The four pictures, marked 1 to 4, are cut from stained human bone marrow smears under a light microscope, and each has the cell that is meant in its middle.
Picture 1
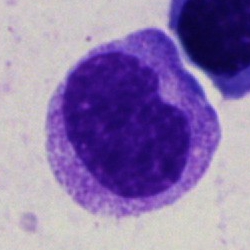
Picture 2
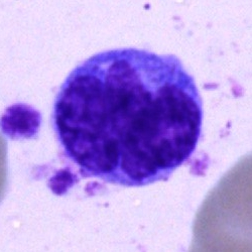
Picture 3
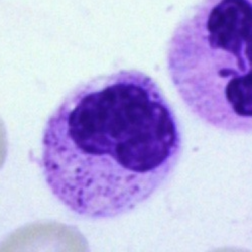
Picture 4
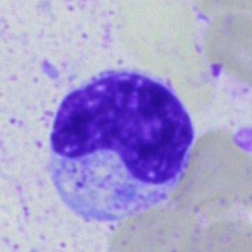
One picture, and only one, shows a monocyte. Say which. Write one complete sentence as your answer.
The cell in picture 2 is the monocyte.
